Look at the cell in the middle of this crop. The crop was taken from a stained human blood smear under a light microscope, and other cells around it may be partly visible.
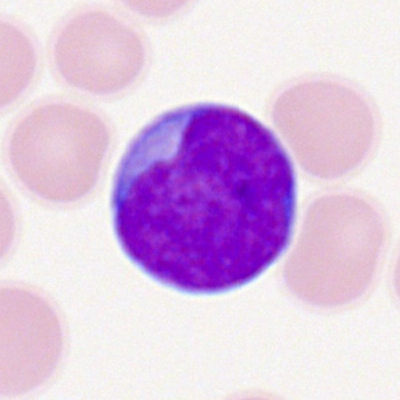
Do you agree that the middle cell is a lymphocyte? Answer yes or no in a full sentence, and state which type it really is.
No, a blast rather than a lymphocyte is the cell at the centre of the crop.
